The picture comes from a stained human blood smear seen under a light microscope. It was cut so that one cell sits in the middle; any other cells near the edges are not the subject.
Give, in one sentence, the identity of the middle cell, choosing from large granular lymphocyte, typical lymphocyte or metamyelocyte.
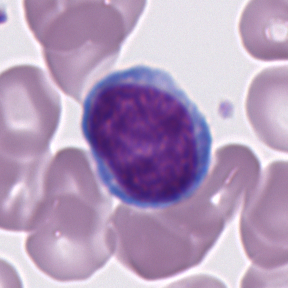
The target cell in the middle of the crop is a typical lymphocyte.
